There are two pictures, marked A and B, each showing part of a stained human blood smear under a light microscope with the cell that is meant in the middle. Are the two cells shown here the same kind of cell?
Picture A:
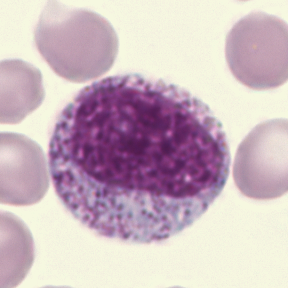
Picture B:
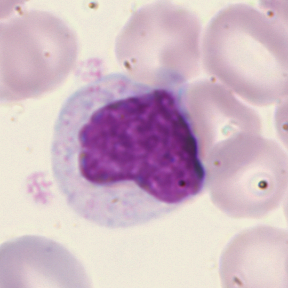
no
